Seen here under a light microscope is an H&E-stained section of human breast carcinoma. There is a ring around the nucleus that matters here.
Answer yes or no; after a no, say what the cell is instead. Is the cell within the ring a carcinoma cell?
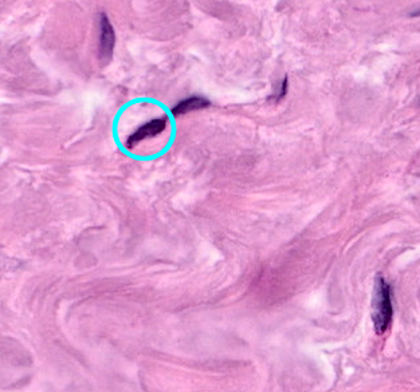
No, it is a fibroblast.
